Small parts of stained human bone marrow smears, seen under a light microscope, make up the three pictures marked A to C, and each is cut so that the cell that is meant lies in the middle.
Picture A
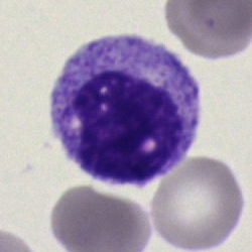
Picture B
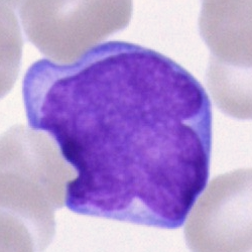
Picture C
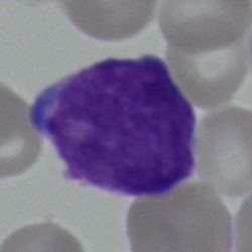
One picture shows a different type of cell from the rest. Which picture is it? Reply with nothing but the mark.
A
